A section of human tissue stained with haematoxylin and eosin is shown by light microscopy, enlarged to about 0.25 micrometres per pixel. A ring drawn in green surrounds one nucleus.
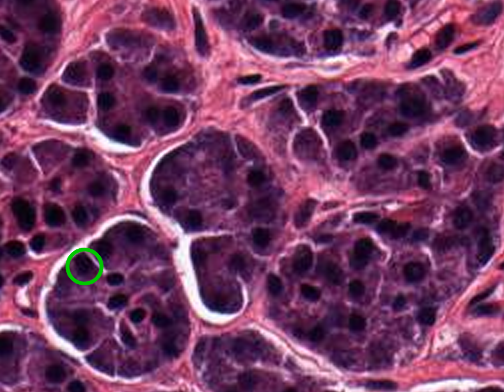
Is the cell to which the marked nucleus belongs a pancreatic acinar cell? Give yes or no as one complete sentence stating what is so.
Yes, the marked nucleus is the nucleus belonging to a pancreatic acinar cell.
